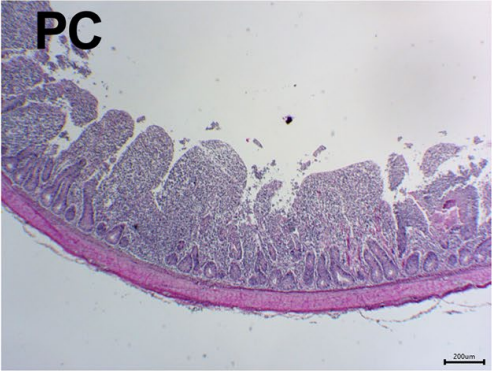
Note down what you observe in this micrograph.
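This cross section of the small intestinal wall shows villi that are badly altered in structure. Instead of tall slender fingers, the mucosa forms short, broad, club-shaped projections packed closely together. Their tips are frayed and irregular, and loose fragments of tissue lie in the lumen above them. The crypt region at the base is comparatively prominent next to the shortened villi. The pink muscular wall beneath remains a continuous band.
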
